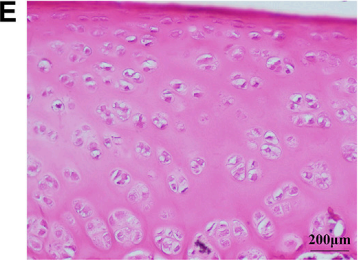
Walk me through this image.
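A smooth, continuous surface runs along the top, and beneath it lies an even, glassy pink matrix. Chondrocytes sit in clear lacunae scattered through the matrix. Near the surface they are smaller and flatter. Deeper down they become rounder and larger, and many lie in small clusters of two to four cells, forming isogenous groups. The tissue is uniform and intact, with no fibrous overgrowth or cracks visible.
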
